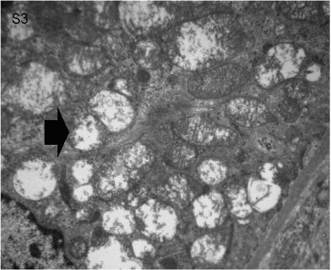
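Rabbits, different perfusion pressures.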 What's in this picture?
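This electron micrograph of kidney cell cytoplasm is dominated by swollen, vacuolar mitochondria. Most mitochondria are round and distended, with pale, cleared interiors containing wisps of broken cristae. Some have lost nearly all internal structure and appear as empty membrane-bound spaces. Part of a nucleus with dark chromatin is visible at the lower edge.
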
